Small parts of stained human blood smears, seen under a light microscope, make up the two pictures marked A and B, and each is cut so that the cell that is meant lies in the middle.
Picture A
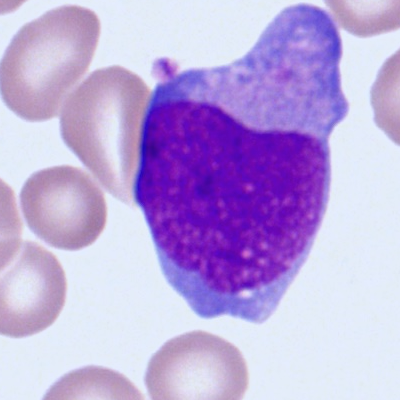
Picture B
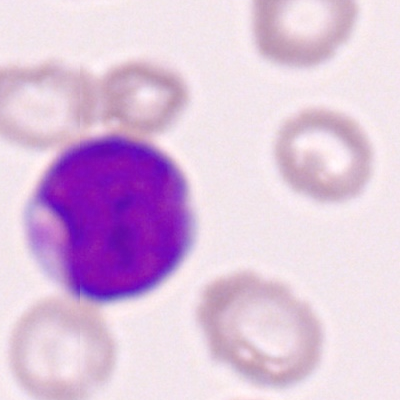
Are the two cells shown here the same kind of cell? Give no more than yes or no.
yes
